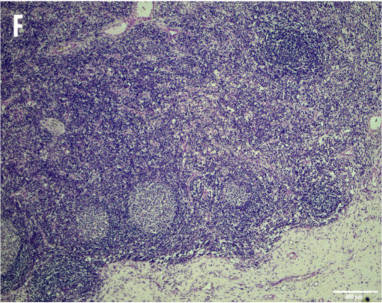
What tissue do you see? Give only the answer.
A: Lymph node.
